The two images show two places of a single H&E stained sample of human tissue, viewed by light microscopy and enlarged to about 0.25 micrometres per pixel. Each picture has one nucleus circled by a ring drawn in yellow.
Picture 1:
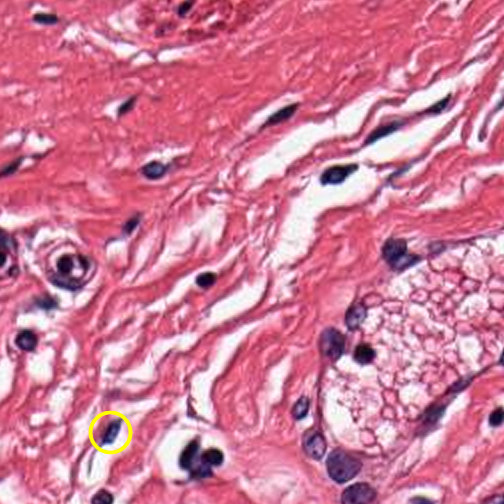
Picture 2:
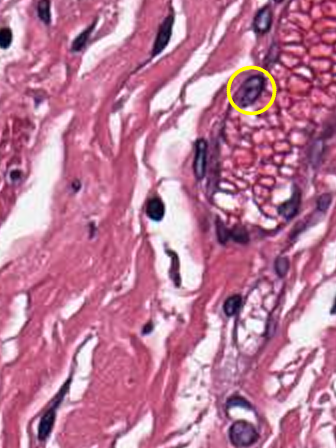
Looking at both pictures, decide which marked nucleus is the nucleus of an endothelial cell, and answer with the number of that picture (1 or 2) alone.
2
